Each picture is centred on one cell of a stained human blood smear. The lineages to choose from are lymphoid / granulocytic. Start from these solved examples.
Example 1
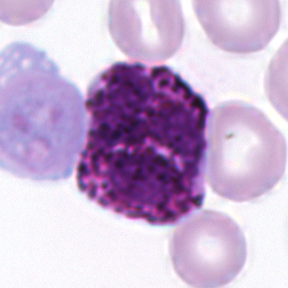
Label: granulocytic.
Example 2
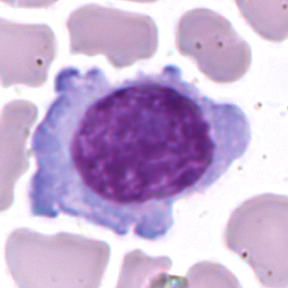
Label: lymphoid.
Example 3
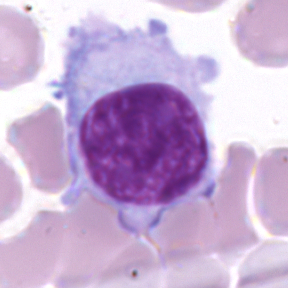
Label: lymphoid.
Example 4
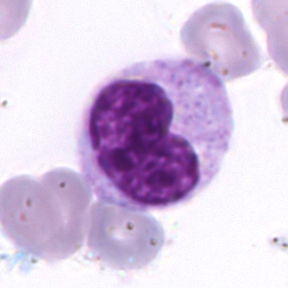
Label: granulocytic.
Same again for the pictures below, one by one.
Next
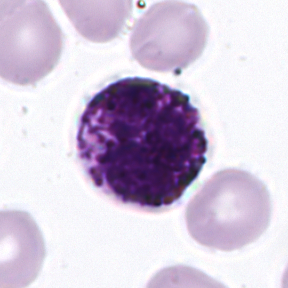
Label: granulocytic.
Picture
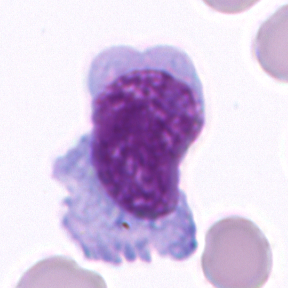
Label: lymphoid.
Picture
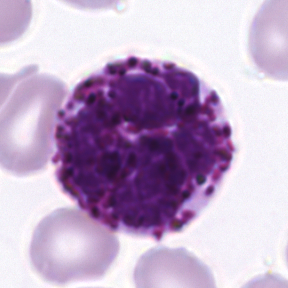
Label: granulocytic.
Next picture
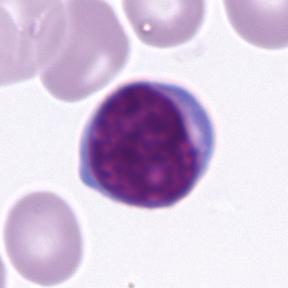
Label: lymphoid.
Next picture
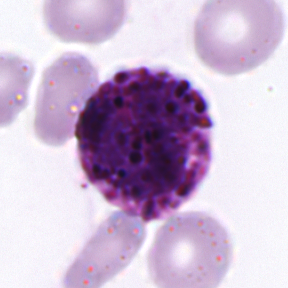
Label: granulocytic.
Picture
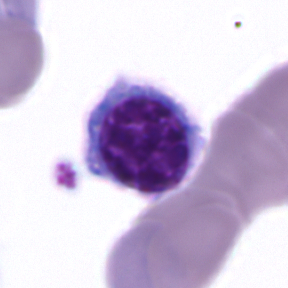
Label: lymphoid.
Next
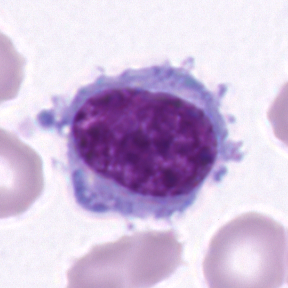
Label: lymphoid.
